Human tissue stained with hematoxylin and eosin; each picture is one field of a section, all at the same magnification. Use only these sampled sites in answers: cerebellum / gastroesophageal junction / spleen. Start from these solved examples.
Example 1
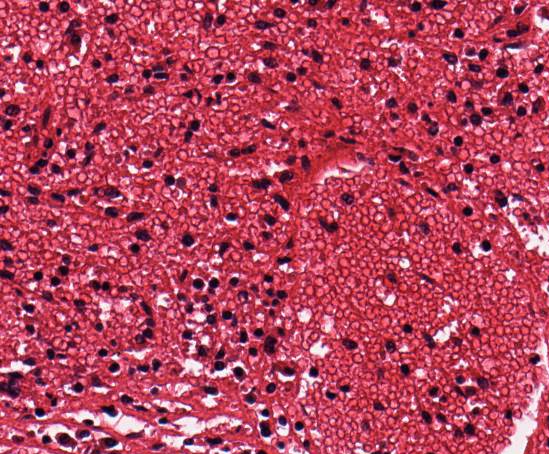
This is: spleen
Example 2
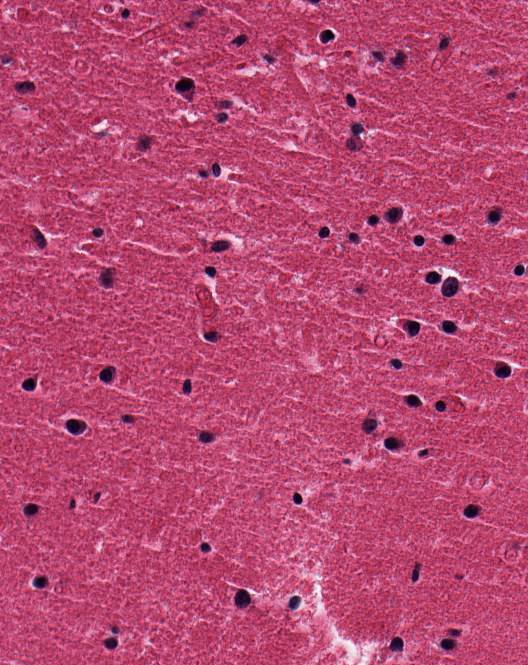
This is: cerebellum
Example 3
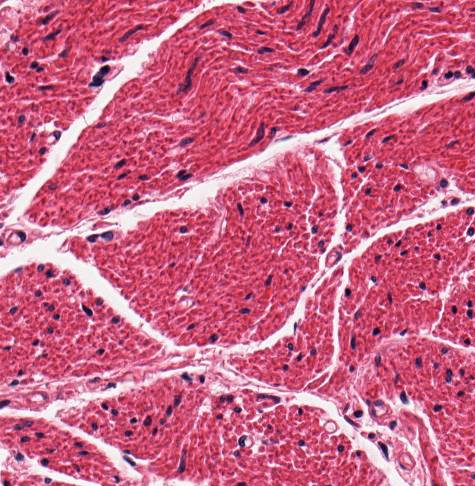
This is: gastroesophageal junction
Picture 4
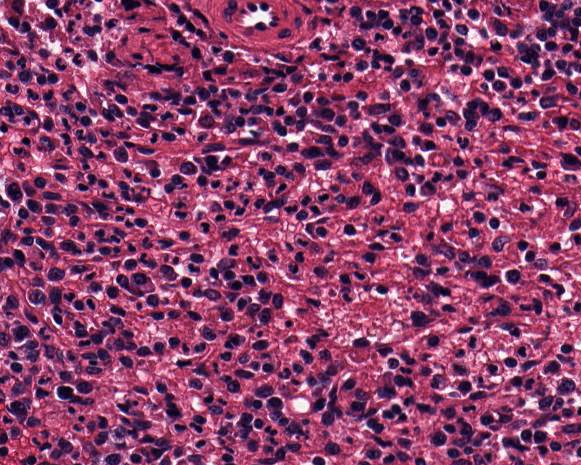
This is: spleen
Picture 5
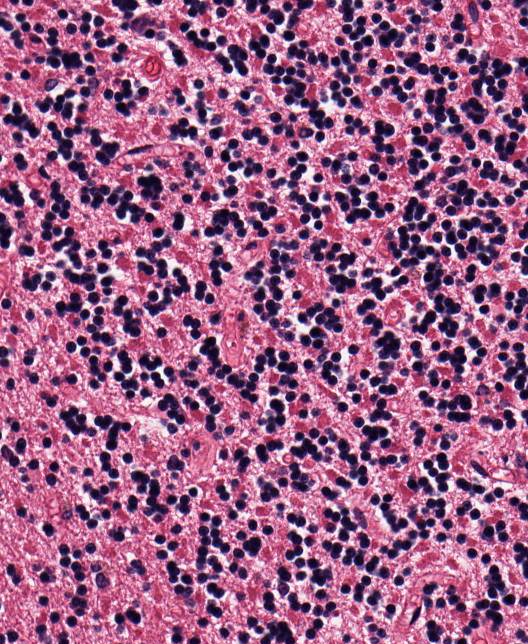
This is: cerebellum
